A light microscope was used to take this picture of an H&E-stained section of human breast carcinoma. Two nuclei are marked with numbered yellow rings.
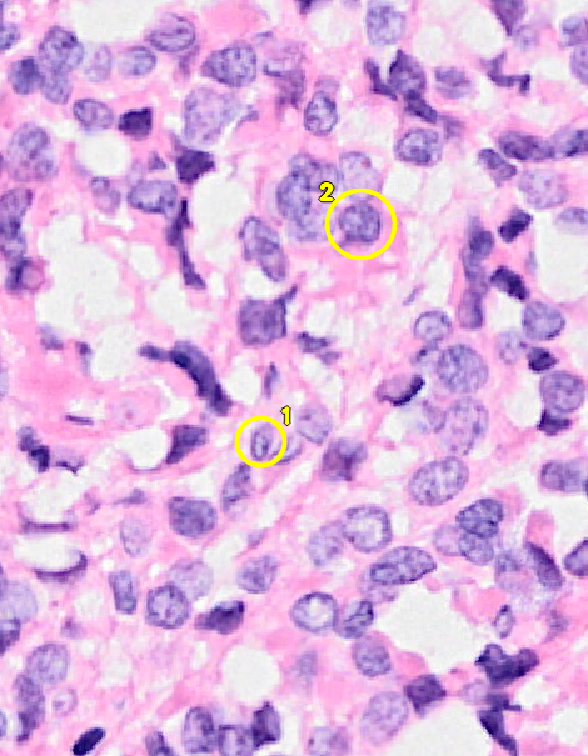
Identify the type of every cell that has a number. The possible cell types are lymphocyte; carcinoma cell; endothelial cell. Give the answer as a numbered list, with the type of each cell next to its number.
1. endothelial cell
2. carcinoma cell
